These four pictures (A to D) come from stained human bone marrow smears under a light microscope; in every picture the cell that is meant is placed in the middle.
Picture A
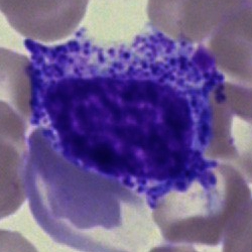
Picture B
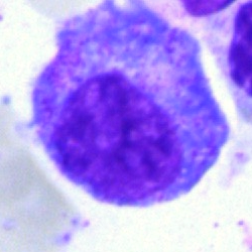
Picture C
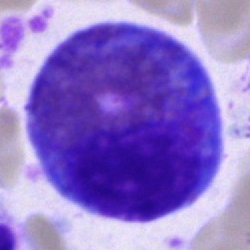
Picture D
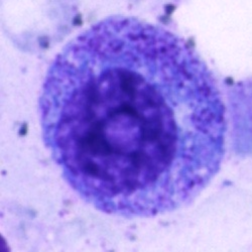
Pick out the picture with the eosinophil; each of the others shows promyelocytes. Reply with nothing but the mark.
C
